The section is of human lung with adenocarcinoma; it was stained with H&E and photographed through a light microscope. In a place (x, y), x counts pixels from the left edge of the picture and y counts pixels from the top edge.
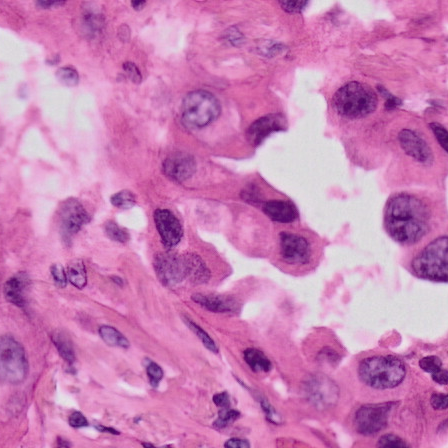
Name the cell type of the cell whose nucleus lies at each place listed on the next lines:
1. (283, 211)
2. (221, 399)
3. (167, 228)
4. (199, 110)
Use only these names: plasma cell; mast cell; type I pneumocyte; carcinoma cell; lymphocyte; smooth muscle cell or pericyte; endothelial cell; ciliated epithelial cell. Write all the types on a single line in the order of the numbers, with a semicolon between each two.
carcinoma cell; lymphocyte; carcinoma cell; carcinoma cell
